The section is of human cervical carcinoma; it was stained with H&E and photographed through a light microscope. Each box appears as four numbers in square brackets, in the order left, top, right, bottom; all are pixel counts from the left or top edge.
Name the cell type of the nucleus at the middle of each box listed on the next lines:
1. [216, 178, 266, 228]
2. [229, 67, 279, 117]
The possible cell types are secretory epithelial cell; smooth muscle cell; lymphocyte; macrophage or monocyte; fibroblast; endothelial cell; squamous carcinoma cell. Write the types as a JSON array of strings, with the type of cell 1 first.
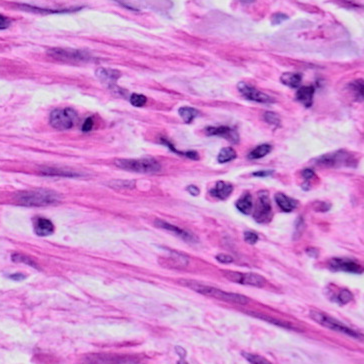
["lymphocyte", "macrophage or monocyte"]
